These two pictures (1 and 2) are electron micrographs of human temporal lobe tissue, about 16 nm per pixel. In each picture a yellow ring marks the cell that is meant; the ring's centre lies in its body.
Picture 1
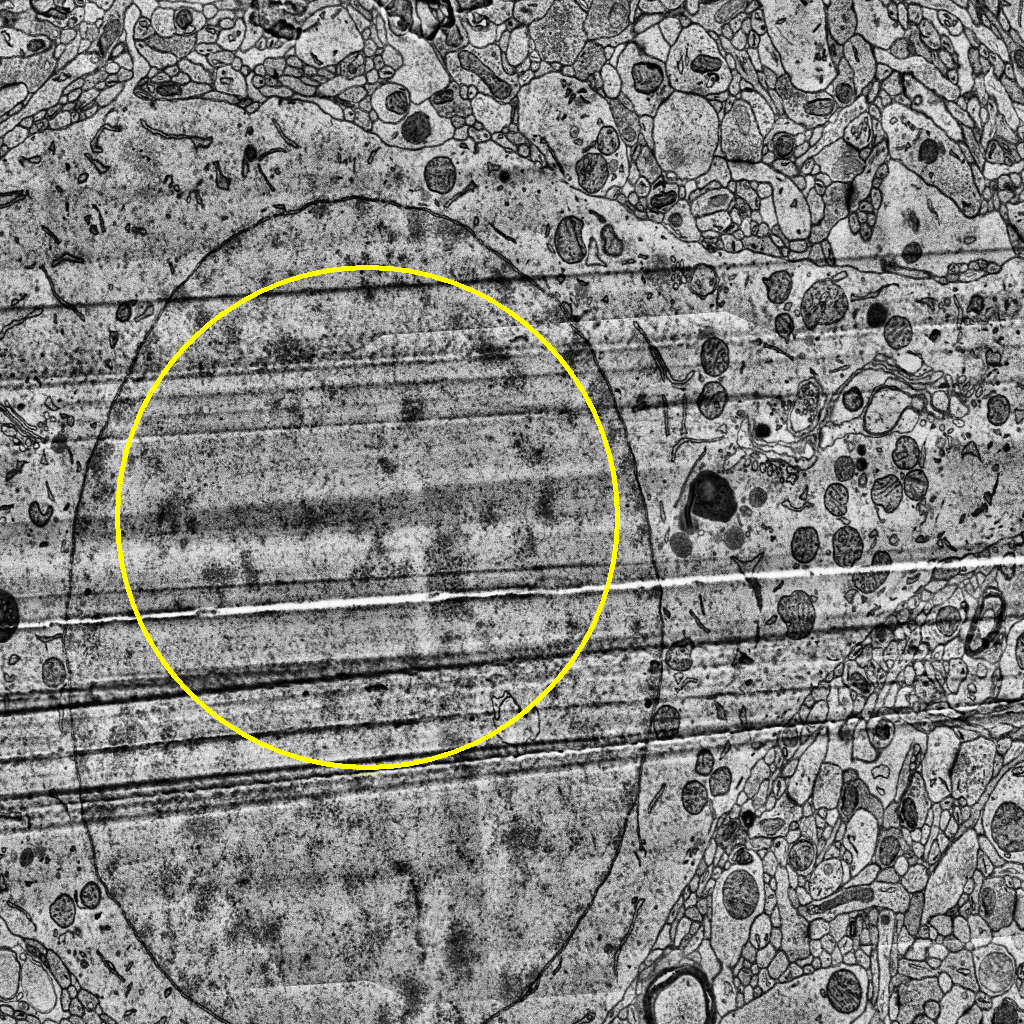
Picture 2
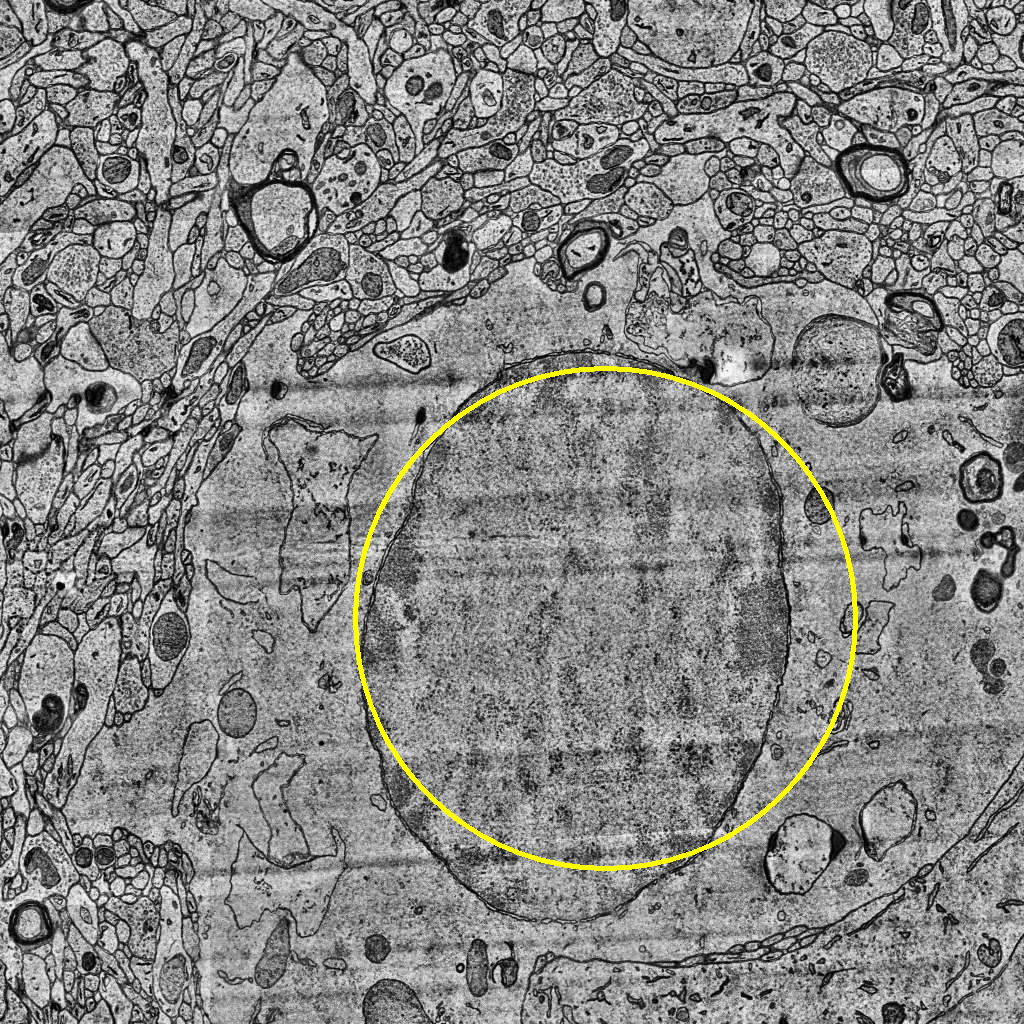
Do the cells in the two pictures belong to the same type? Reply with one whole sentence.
No. Picture 1 shows a pyramidal neuron, but picture 2 shows an astrocyte.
